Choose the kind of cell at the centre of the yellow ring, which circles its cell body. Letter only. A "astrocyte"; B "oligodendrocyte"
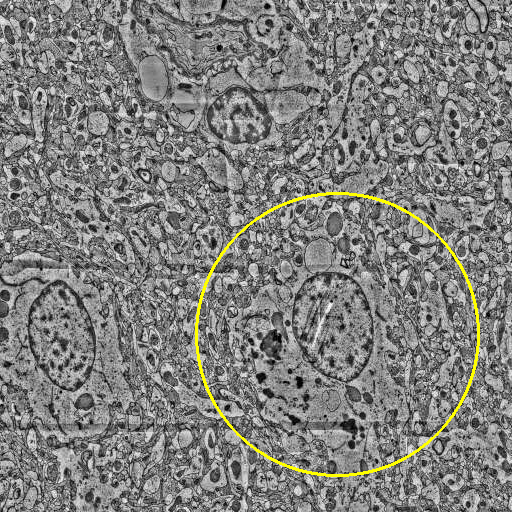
A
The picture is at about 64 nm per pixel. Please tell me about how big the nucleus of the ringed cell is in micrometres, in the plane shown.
About 7 by 5 micrometres in this plane.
